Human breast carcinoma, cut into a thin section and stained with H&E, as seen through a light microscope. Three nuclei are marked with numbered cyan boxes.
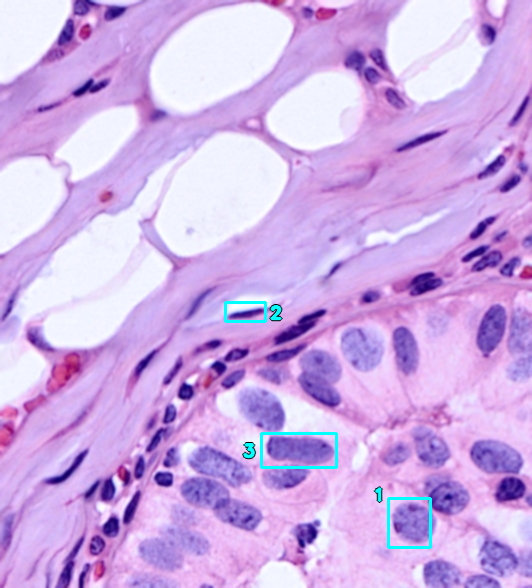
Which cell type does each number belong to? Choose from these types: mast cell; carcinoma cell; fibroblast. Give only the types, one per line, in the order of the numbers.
carcinoma cell
fibroblast
carcinoma cell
